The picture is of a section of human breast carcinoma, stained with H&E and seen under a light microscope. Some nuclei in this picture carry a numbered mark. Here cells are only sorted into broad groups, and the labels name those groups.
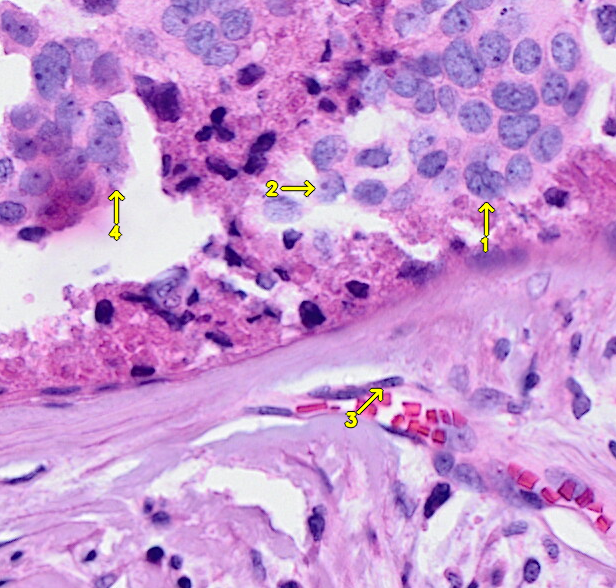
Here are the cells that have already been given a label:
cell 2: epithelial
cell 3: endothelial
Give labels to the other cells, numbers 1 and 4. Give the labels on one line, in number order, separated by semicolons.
epithelial; epithelial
